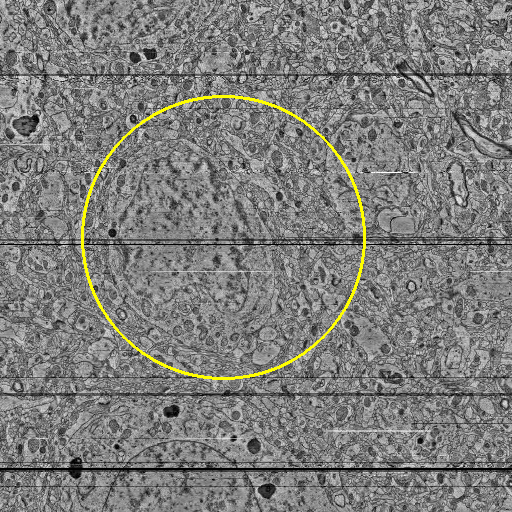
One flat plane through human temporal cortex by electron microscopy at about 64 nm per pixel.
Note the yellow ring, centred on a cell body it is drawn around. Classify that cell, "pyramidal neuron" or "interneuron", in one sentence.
The cell the ring is centred on is an interneuron.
